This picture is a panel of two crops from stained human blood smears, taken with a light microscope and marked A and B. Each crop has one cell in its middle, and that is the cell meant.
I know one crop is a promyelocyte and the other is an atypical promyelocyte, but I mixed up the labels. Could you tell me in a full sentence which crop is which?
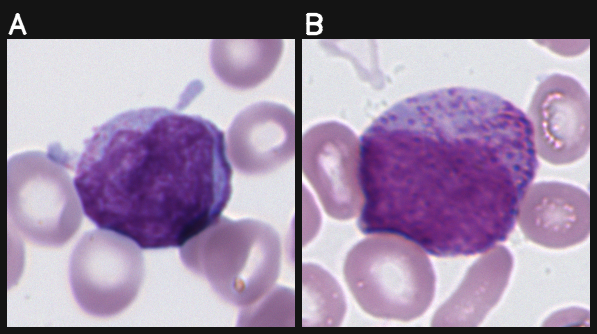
Crop A displays an atypical promyelocyte, and crop B displays a promyelocyte.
